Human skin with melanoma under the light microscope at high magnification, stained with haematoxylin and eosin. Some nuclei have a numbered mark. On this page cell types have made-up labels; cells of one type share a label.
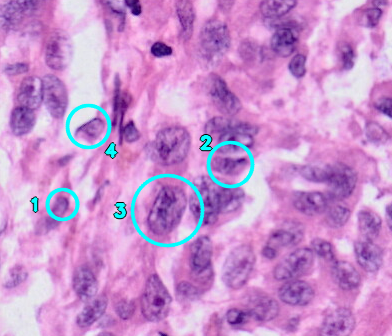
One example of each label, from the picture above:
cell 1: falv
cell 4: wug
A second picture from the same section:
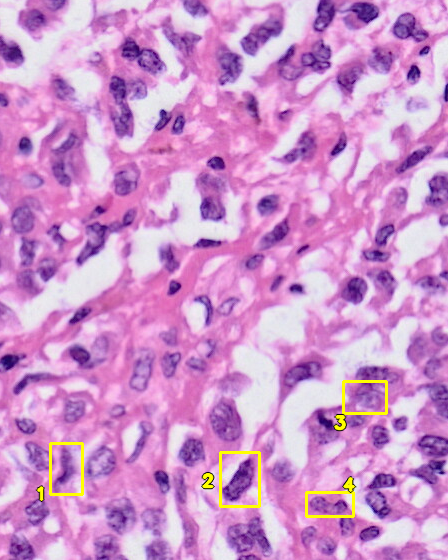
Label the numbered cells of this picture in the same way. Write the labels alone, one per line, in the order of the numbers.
wug
wug
wug
falv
